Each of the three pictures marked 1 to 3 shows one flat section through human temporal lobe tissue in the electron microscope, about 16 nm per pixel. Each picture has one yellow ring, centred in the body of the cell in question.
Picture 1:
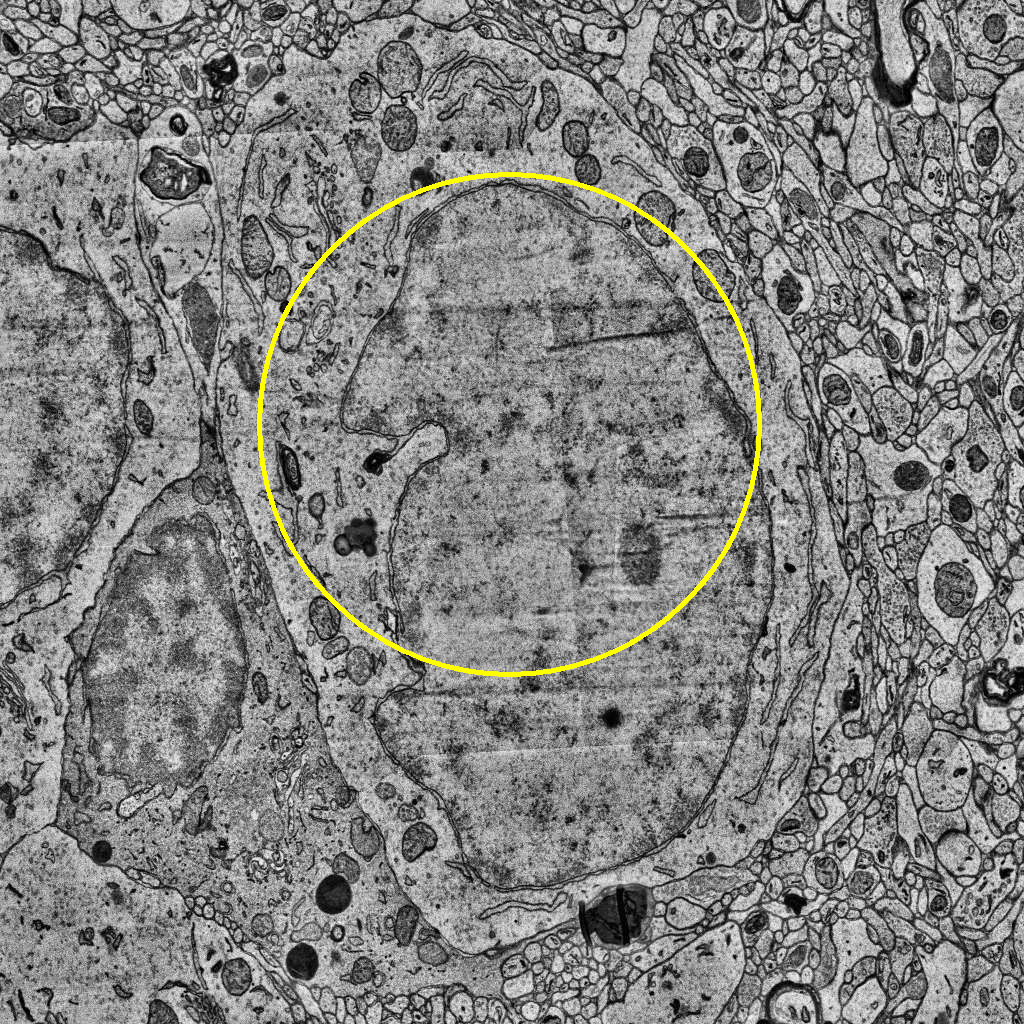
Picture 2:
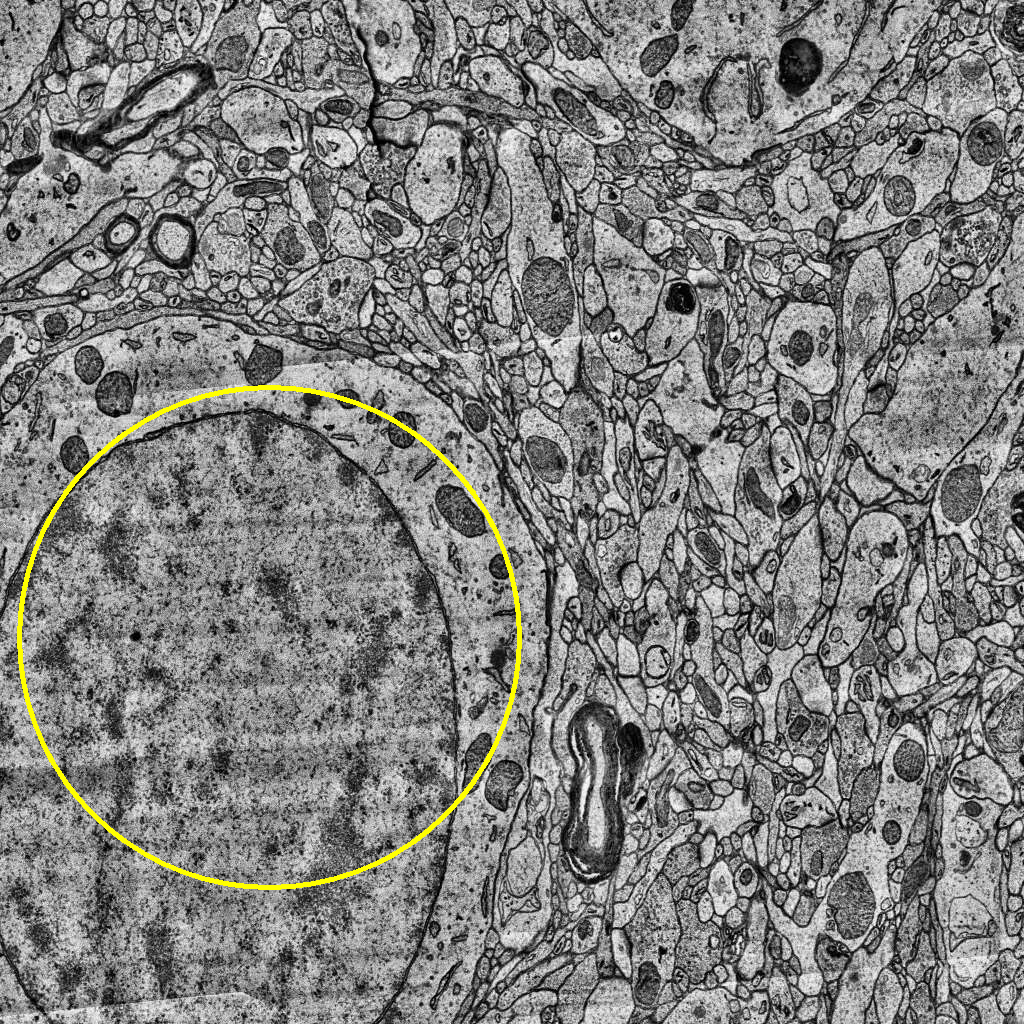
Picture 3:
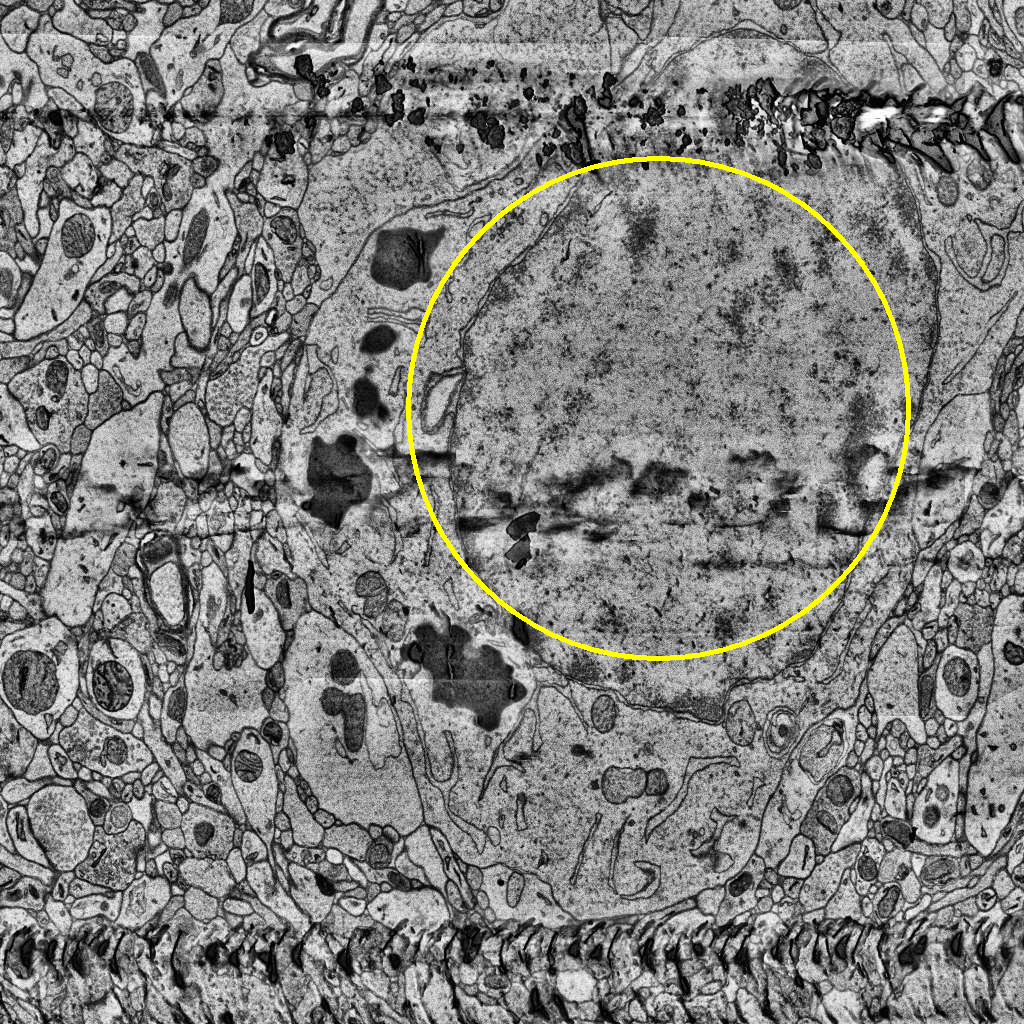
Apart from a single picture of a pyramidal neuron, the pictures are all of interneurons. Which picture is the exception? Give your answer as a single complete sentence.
The cell in picture 2 is the pyramidal neuron.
